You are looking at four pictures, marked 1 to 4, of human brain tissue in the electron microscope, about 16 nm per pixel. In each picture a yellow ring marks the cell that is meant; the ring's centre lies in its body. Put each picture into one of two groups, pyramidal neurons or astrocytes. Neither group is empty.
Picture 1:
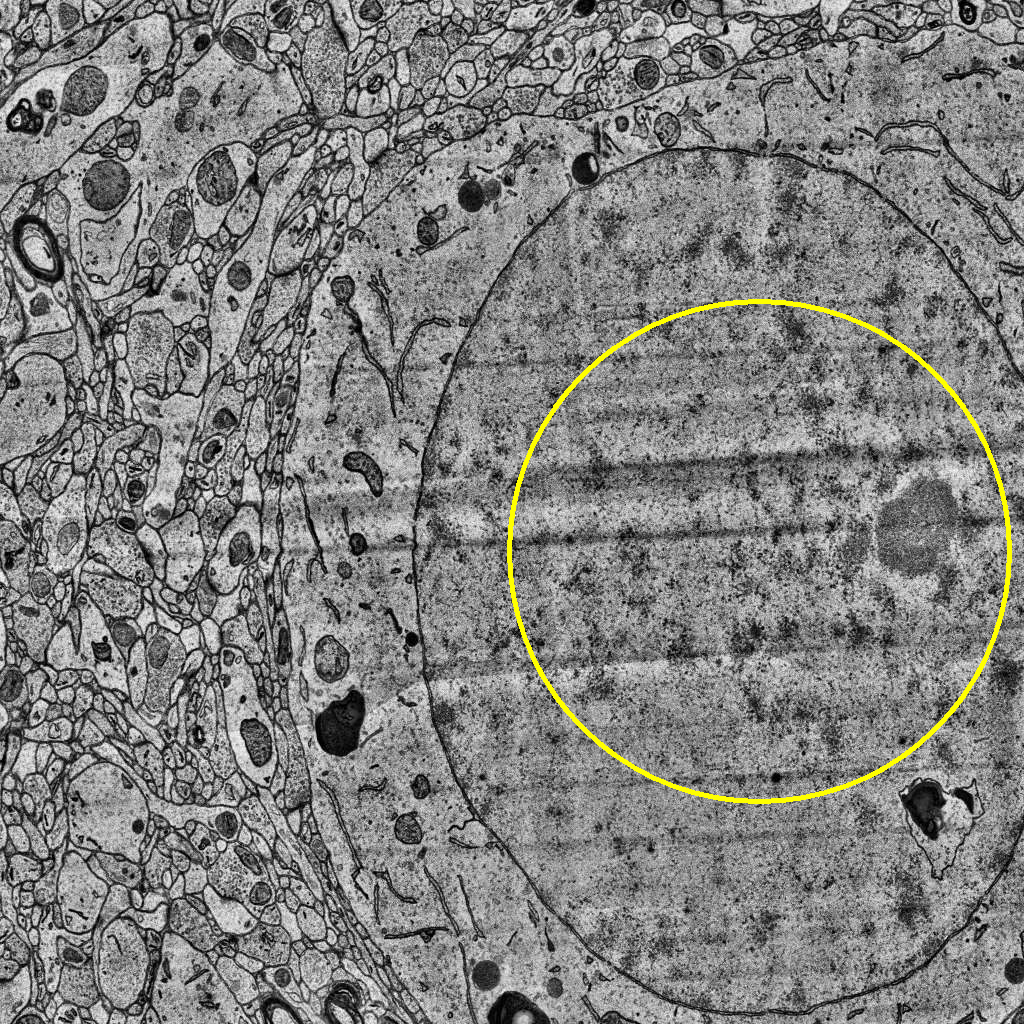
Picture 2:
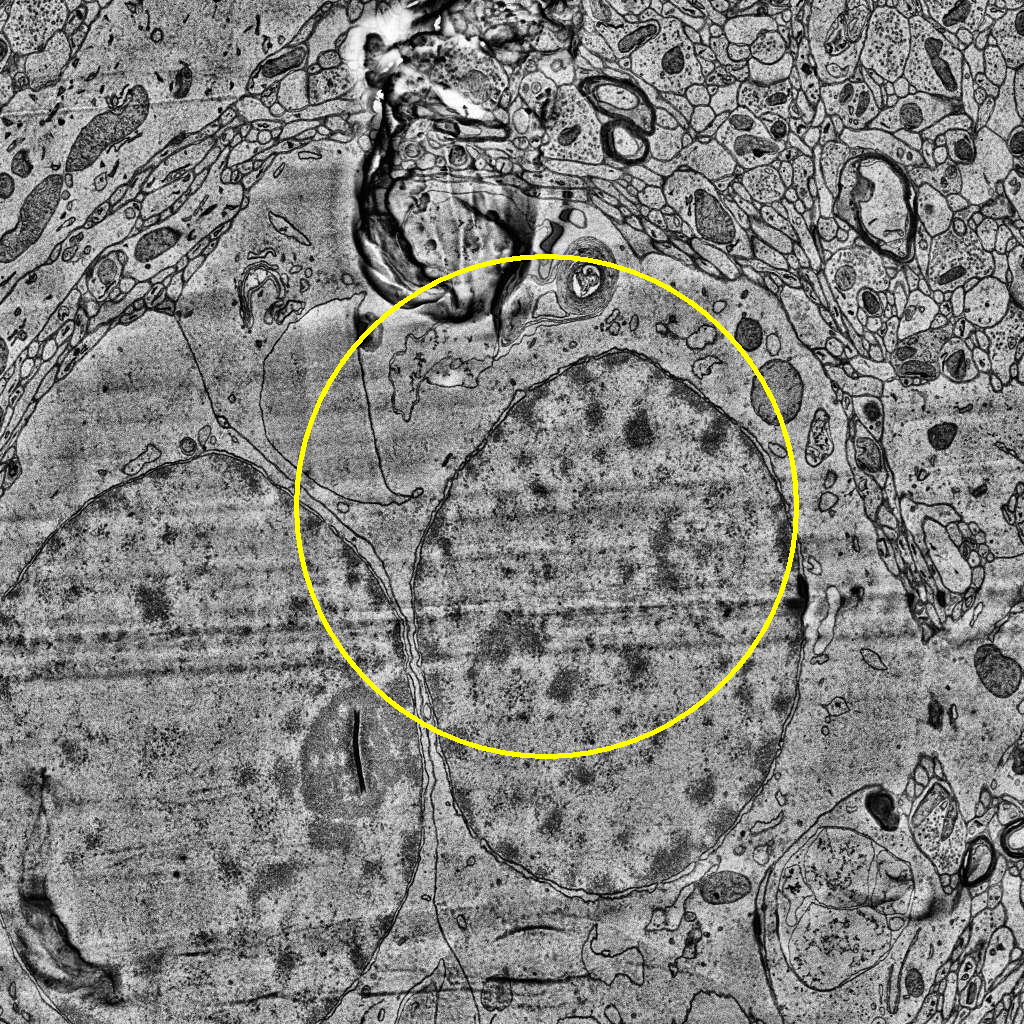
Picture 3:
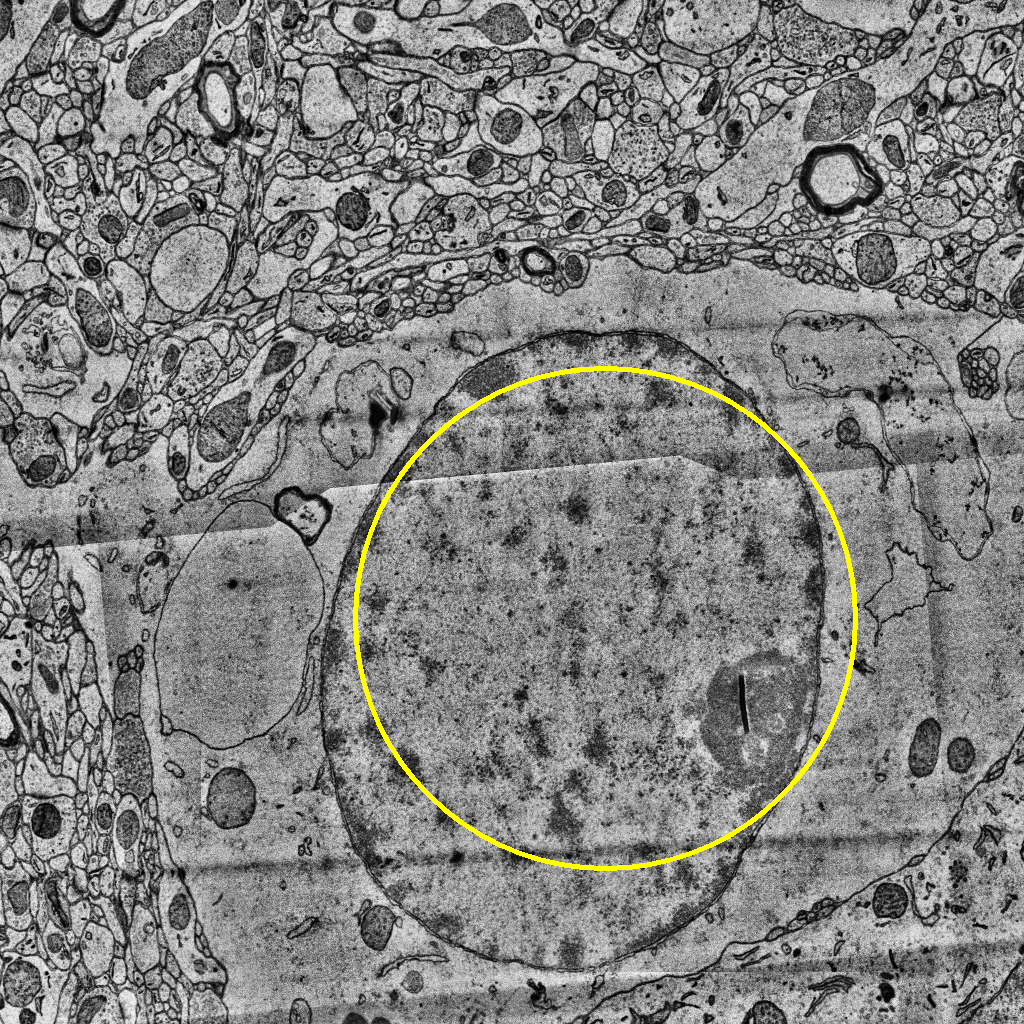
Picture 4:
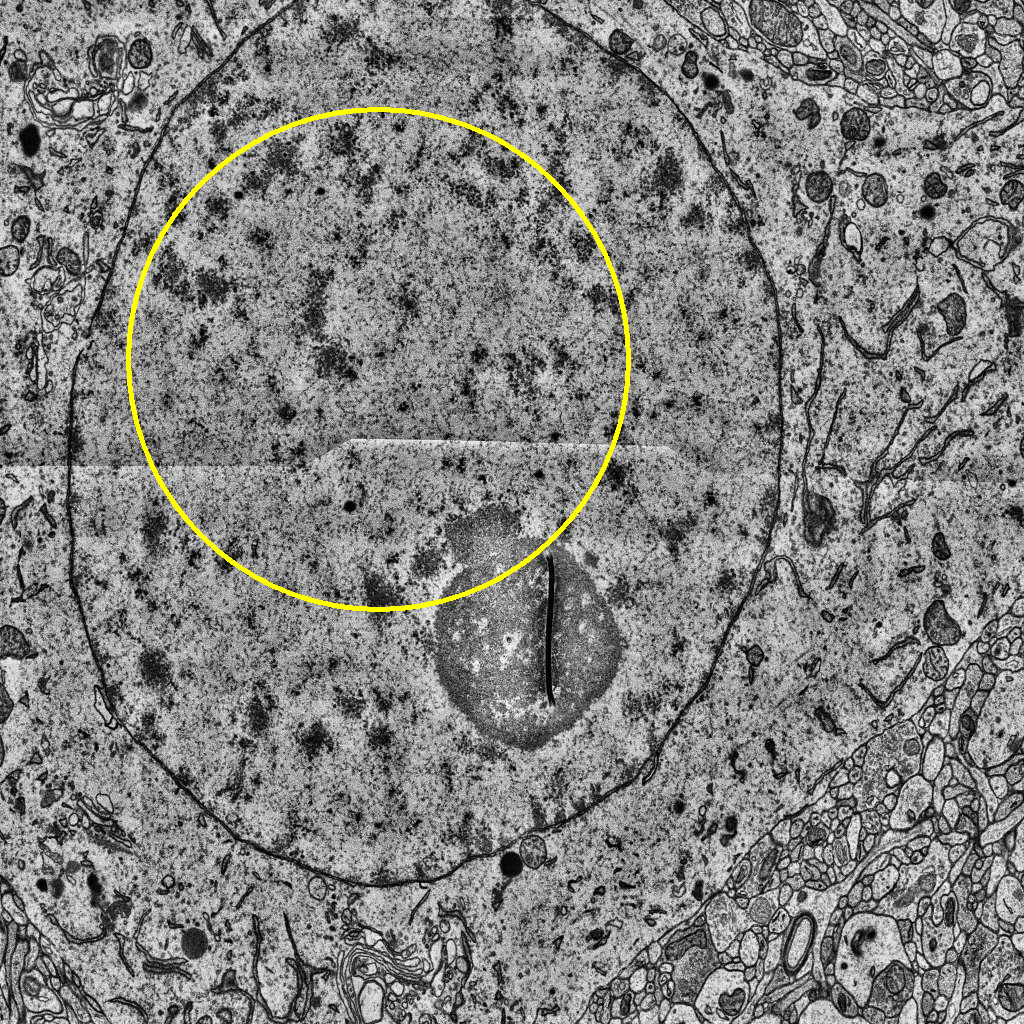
Pictures 1 and 4 show pyramidal neurons, and pictures 2 and 3 show astrocytes.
